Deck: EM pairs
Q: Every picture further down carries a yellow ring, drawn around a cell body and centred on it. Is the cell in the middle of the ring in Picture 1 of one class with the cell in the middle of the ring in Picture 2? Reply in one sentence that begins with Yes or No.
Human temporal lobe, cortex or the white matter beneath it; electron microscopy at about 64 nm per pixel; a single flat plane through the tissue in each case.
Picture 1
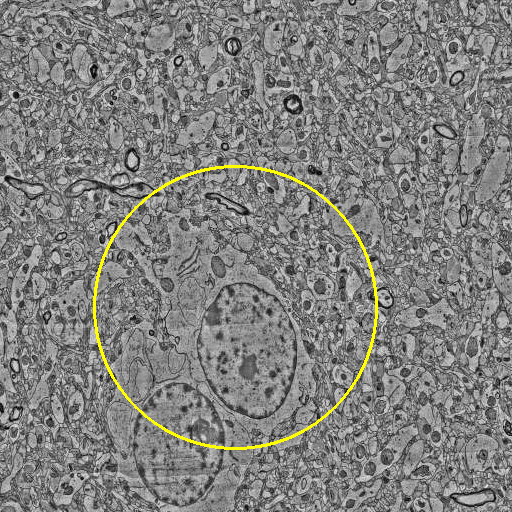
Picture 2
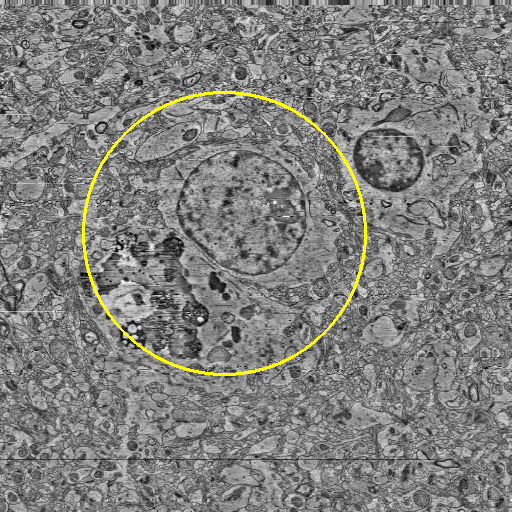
Yes, the cell centred in the ring of Picture 1 and the one in Picture 2 belong to one class.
